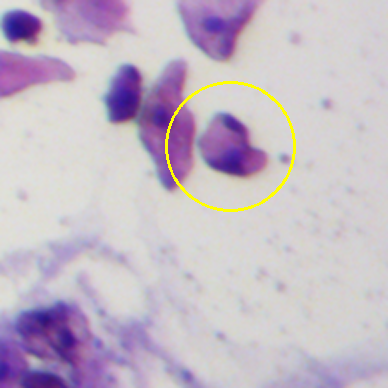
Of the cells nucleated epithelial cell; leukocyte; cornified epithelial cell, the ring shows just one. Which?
The ring shows a nucleated epithelial cell.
